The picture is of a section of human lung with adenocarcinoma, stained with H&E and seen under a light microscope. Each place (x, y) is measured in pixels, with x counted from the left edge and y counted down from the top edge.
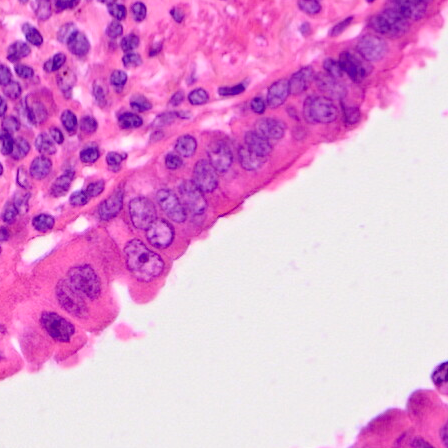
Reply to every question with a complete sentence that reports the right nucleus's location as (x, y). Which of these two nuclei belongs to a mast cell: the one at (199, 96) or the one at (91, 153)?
The nucleus lying at (199, 96) is the nucleus of a mast cell.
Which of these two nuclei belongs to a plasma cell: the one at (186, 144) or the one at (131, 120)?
Rather than the other nucleus, the one at (131, 120) belongs to a plasma cell.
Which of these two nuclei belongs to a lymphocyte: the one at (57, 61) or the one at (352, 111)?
The nucleus of the pair that lies within a lymphocyte is at (57, 61).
